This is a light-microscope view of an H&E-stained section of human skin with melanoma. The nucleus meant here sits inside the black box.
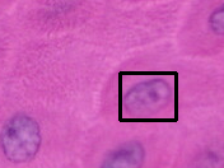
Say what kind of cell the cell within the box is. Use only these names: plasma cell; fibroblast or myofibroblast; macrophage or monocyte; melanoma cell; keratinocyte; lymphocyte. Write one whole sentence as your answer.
Among the cells in this section, the cell within the box is a keratinocyte.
